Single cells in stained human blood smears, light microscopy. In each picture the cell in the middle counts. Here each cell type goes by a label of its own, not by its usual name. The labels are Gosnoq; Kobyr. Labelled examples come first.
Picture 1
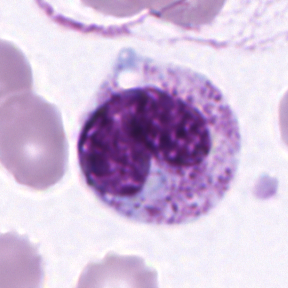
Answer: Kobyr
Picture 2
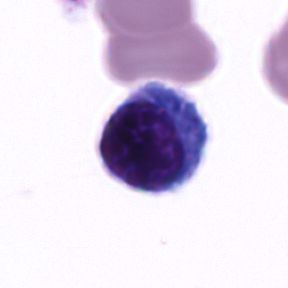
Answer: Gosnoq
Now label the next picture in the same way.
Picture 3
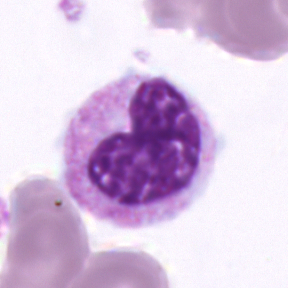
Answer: Kobyr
